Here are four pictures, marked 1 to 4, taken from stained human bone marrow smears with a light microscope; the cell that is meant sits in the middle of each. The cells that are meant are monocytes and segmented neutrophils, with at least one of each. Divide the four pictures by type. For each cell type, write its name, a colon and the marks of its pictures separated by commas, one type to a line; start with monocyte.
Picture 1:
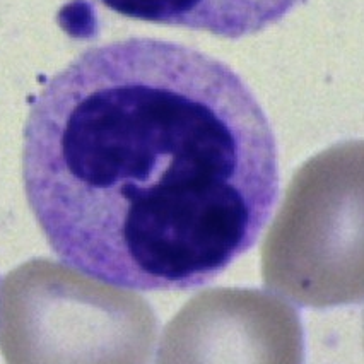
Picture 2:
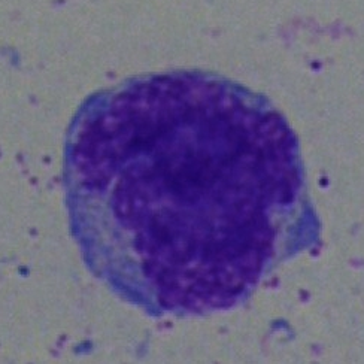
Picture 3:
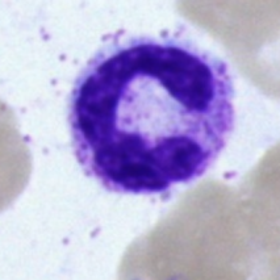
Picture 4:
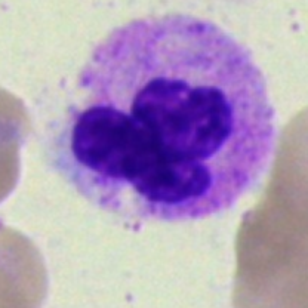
monocyte: 2
segmented neutrophil: 1, 3, 4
